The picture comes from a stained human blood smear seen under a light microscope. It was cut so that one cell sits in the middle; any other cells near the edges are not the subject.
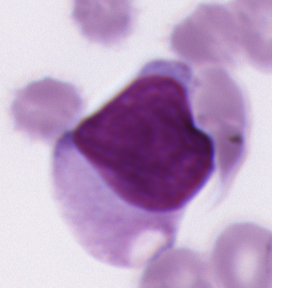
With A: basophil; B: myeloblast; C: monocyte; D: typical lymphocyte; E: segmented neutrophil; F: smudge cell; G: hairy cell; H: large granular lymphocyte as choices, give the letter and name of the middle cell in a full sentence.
The correct option, B, names the middle cell as a myeloblast.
